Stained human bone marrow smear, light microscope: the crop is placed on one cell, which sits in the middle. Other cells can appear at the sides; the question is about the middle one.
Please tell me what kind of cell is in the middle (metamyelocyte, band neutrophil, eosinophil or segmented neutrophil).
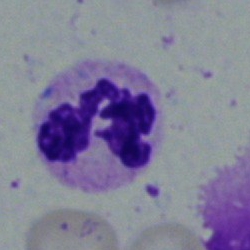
segmented neutrophil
